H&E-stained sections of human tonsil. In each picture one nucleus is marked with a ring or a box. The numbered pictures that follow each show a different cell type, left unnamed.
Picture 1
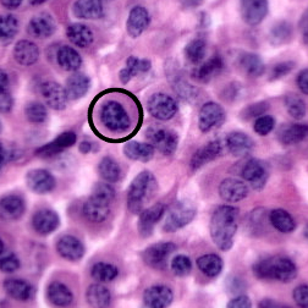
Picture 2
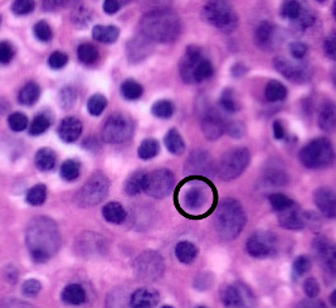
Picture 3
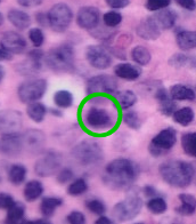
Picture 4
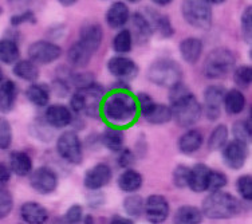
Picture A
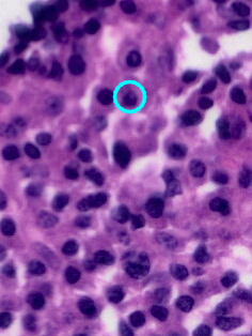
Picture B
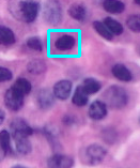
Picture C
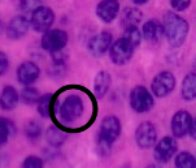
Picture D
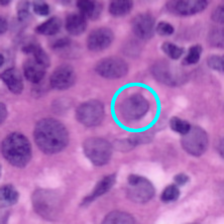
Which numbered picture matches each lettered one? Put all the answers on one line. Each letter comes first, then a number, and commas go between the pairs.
A 1, B 1, C 1, D 2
